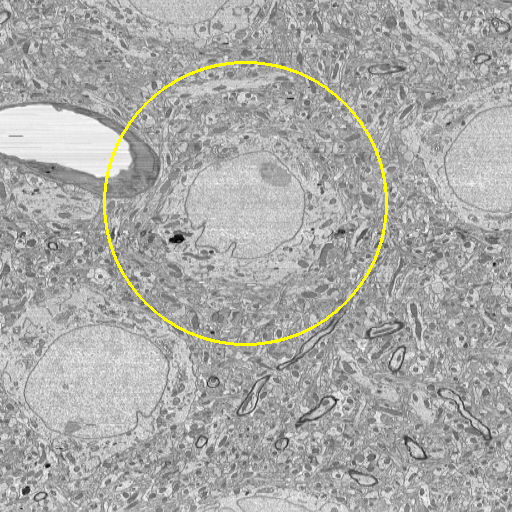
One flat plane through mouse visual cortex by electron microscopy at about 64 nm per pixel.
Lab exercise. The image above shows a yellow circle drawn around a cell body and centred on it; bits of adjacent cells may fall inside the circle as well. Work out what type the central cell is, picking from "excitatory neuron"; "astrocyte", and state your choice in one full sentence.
In the image above, the cell at the centre of the yellow circle is an excitatory neuron.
